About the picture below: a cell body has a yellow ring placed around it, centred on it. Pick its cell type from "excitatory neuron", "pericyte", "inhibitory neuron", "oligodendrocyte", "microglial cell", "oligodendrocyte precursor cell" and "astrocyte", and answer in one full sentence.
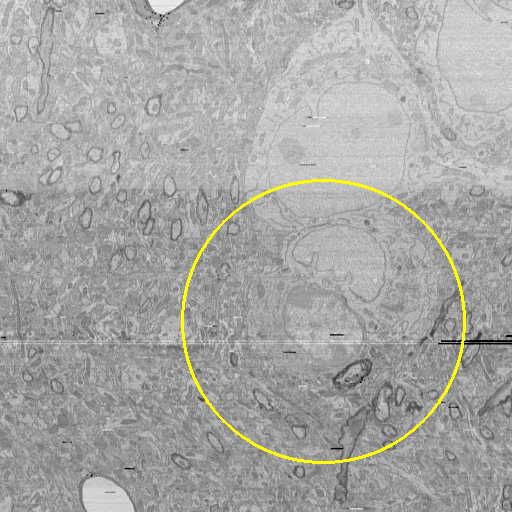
In the picture, an oligodendrocyte is the cell sitting at the centre of the yellow ring.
